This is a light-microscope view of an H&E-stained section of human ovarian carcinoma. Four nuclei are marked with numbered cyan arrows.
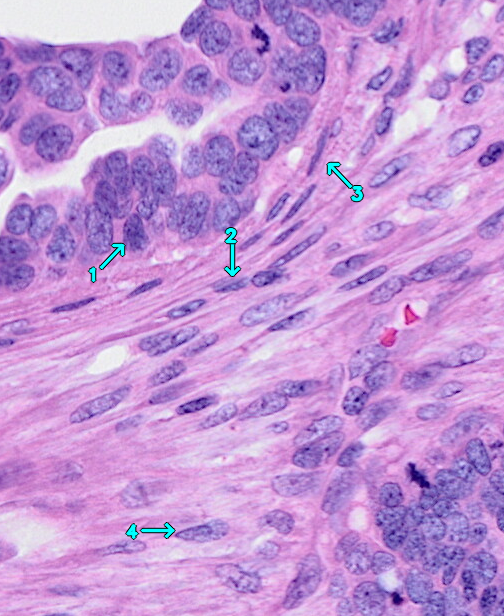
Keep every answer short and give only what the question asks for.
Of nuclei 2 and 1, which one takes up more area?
1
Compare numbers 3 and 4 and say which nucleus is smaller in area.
3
